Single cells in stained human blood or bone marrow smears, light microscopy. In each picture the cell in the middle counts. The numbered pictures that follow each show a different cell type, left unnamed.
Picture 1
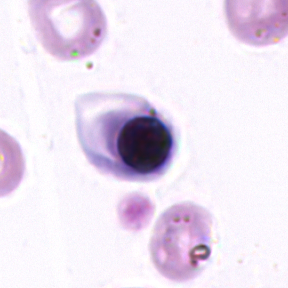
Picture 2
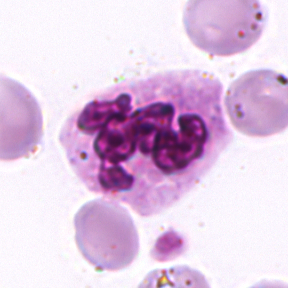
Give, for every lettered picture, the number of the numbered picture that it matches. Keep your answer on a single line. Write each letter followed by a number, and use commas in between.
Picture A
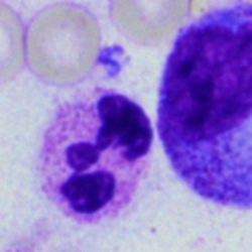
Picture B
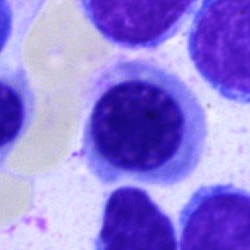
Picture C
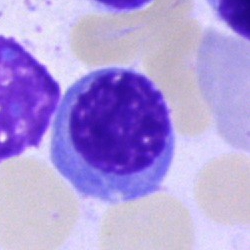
A 2, B 1, C 1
